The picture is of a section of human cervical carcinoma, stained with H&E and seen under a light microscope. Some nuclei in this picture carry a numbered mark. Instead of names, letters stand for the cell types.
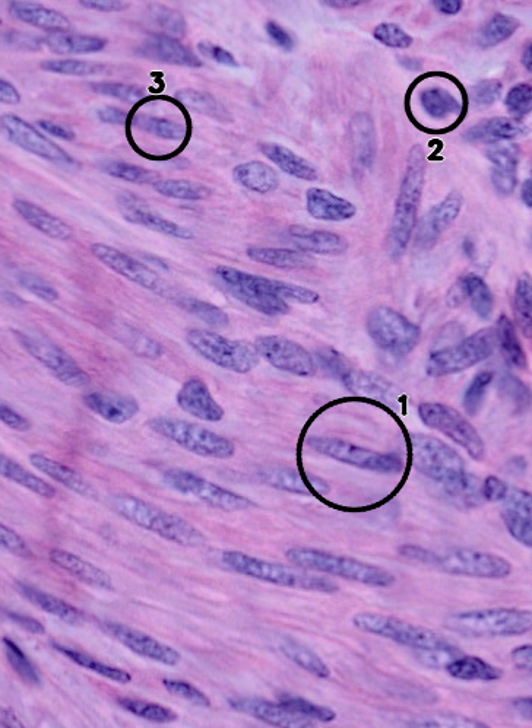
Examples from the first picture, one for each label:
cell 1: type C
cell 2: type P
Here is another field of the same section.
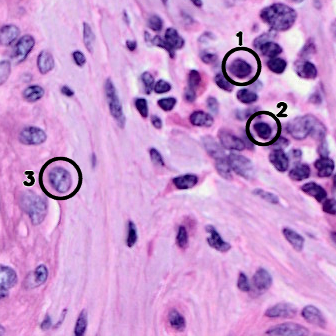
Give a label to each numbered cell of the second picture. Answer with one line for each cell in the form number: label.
1: type P
2: type P
3: type C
